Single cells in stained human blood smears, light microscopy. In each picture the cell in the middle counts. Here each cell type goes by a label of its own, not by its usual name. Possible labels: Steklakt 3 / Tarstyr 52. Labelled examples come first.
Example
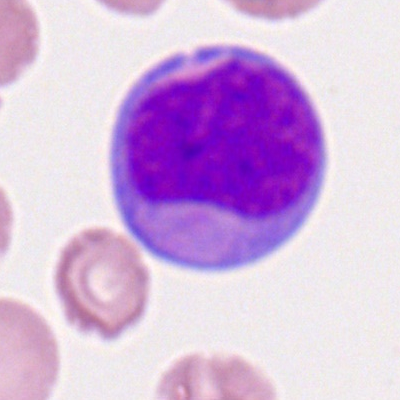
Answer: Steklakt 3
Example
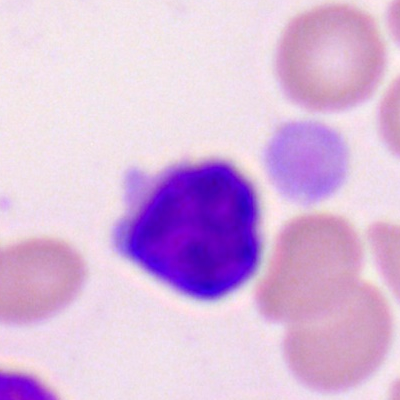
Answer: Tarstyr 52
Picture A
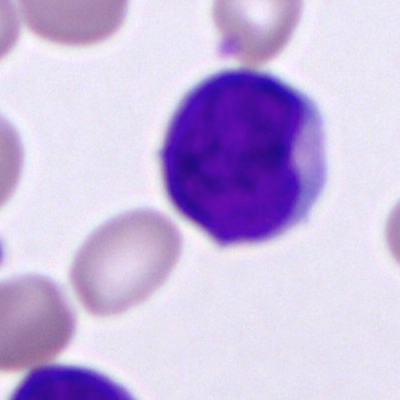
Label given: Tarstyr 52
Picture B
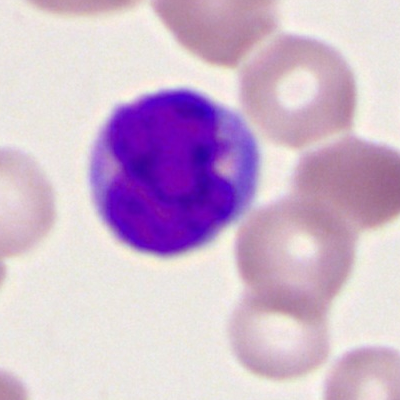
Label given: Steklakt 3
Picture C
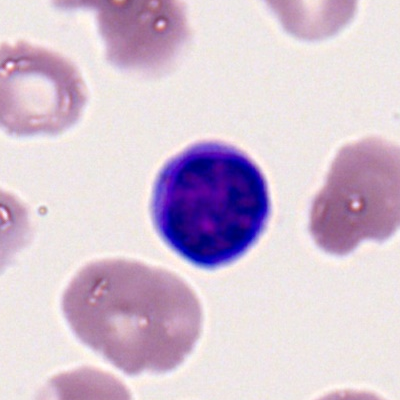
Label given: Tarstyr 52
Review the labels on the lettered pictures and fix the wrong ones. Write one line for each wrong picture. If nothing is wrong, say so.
A: Steklakt 3, not Tarstyr 52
